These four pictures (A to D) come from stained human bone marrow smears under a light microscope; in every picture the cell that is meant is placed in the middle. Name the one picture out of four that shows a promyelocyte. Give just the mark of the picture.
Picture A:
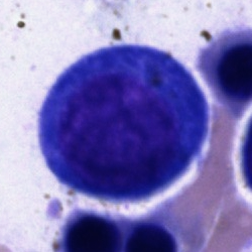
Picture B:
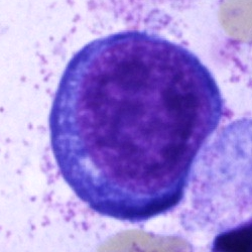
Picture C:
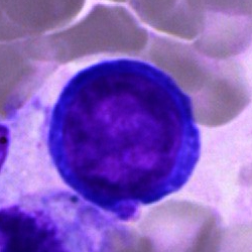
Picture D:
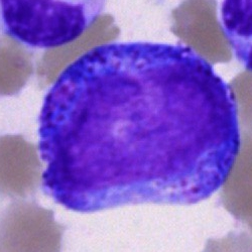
D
